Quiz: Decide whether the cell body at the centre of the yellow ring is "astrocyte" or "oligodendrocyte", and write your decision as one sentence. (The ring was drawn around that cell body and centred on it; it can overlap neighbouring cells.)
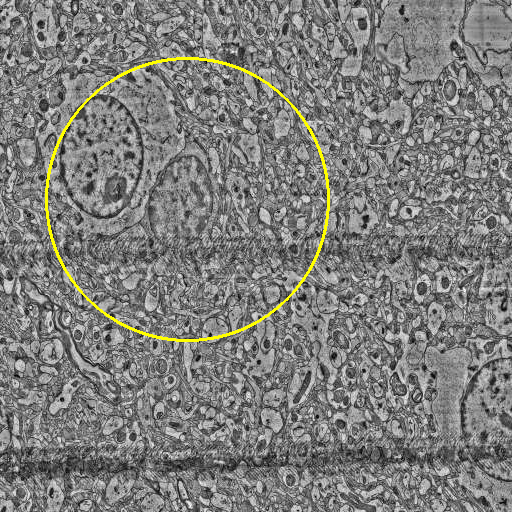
The cell the ring is centred on is an oligodendrocyte.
